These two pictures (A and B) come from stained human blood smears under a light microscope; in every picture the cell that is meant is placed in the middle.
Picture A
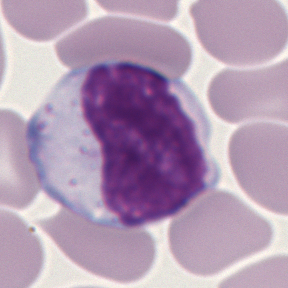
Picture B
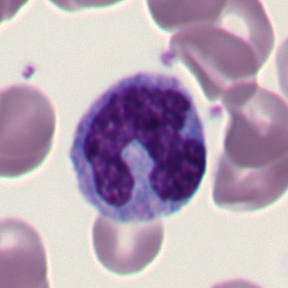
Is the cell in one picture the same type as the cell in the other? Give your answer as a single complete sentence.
No. Picture A shows a large granular lymphocyte, but picture B shows a monocyte.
